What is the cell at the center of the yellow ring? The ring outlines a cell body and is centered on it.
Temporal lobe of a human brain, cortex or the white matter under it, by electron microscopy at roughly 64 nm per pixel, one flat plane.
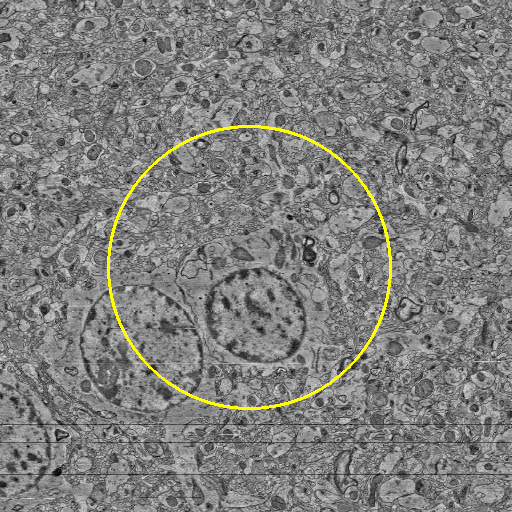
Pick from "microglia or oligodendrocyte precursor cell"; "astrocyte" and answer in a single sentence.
The yellow ring is centered on an astrocyte.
